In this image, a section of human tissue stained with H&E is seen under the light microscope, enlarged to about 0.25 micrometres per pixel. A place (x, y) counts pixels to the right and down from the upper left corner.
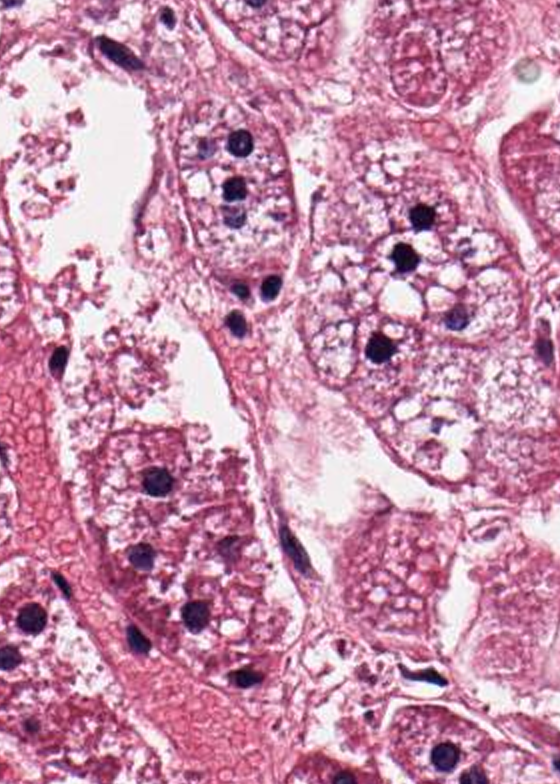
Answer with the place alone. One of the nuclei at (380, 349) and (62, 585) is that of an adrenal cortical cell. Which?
(380, 349)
